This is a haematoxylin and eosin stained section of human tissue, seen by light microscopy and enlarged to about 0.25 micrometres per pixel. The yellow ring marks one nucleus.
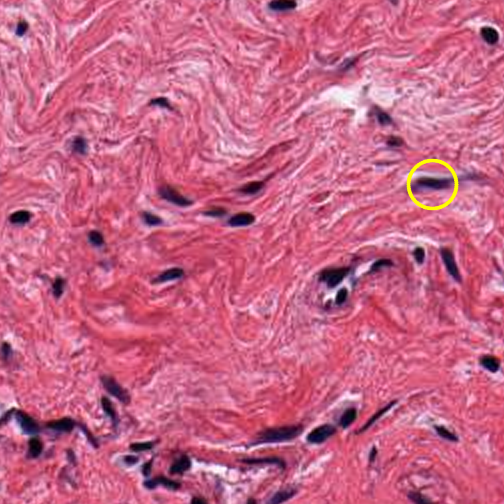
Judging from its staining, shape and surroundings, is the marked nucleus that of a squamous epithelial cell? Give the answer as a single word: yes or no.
no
